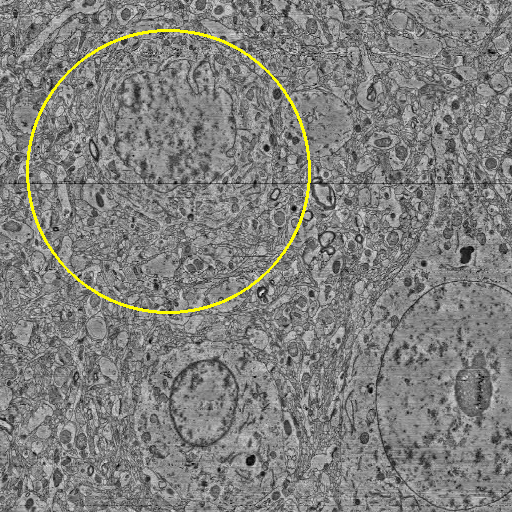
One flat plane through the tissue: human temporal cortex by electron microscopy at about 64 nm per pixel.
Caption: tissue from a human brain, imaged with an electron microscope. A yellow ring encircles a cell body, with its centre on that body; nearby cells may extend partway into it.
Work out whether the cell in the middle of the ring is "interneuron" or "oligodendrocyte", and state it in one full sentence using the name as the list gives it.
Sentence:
In the picture, the cell that the yellow ring surrounds at its centre is an interneuron.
